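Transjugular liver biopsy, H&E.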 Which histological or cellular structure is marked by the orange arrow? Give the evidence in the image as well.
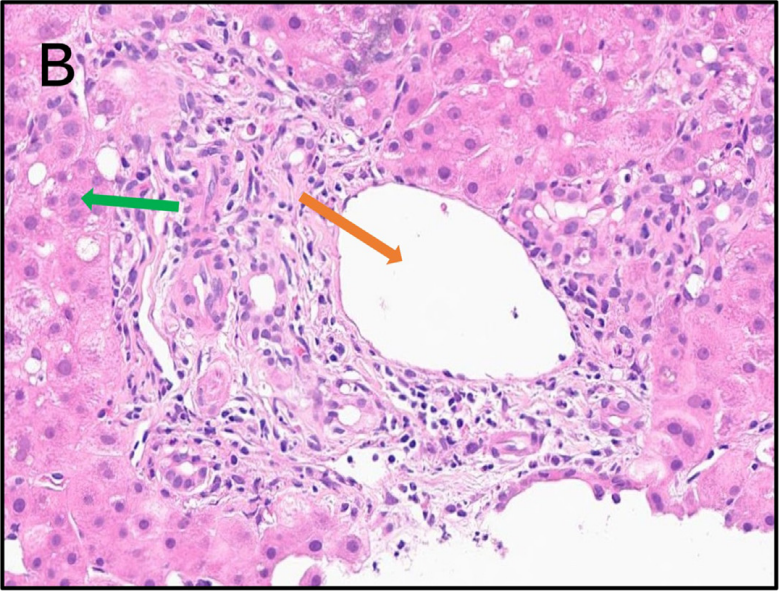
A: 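The arrow points into a large empty thin-walled lumen. The lumen sits within a fibrous tract containing small ducts and scattered inflammatory cells. Plates of hepatocytes surround the tract. So: portal vein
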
